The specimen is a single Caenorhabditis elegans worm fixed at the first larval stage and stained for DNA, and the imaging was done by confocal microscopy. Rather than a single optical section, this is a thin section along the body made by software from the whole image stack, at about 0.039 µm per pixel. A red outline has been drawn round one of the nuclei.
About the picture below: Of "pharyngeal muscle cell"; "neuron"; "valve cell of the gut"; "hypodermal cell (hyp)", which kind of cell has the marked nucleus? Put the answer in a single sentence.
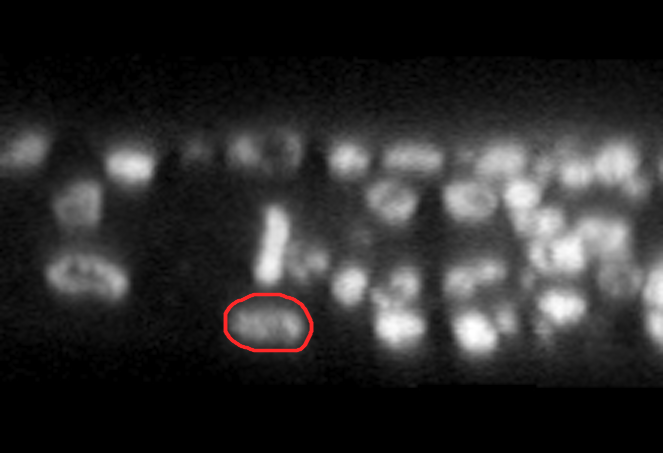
This nucleus is from a hypodermal cell (hyp).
